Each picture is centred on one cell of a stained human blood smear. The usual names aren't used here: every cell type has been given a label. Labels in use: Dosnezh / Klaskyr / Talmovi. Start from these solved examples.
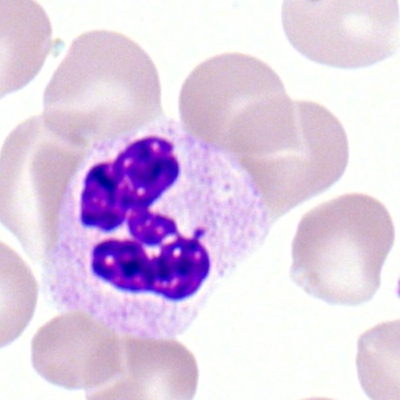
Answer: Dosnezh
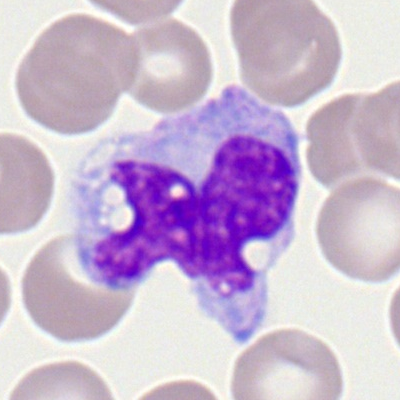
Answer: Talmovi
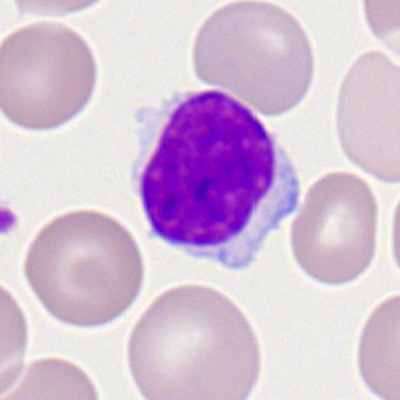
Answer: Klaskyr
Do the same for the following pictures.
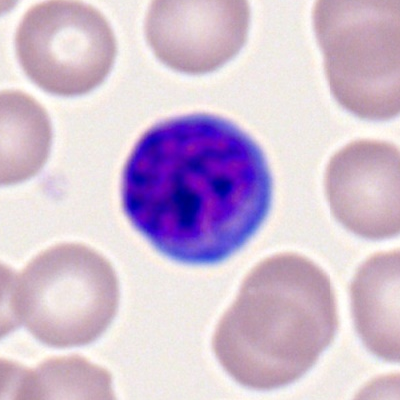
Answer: Klaskyr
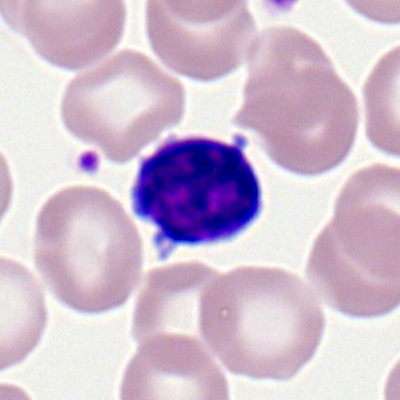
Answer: Klaskyr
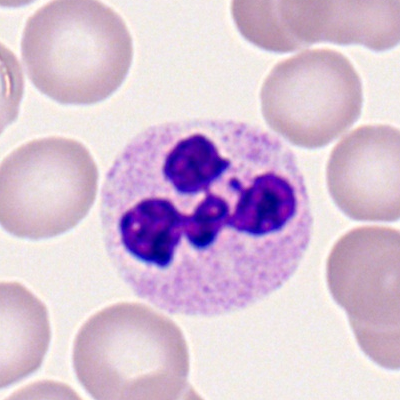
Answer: Dosnezh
